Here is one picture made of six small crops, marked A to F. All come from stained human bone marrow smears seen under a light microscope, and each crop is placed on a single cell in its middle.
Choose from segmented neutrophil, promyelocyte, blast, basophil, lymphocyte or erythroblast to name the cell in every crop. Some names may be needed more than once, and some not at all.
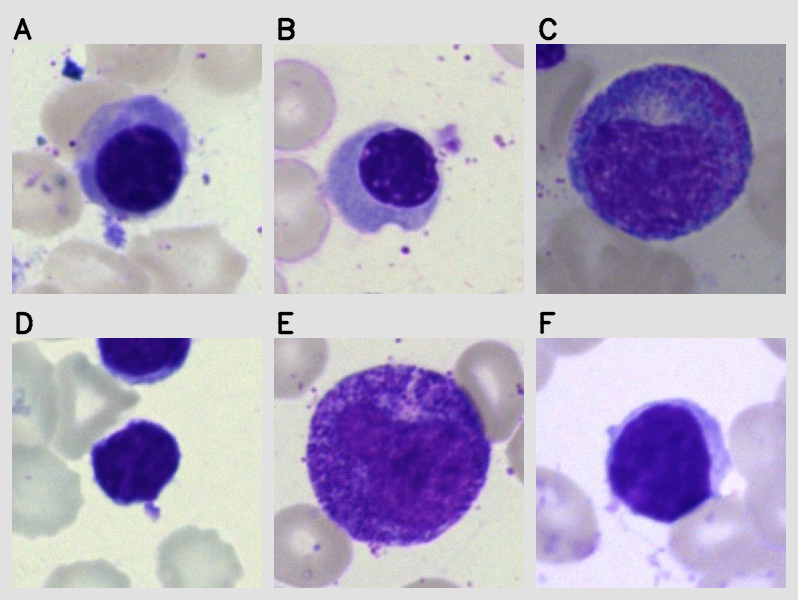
A: erythroblast
B: erythroblast
C: promyelocyte
D: lymphocyte
E: promyelocyte
F: lymphocyte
